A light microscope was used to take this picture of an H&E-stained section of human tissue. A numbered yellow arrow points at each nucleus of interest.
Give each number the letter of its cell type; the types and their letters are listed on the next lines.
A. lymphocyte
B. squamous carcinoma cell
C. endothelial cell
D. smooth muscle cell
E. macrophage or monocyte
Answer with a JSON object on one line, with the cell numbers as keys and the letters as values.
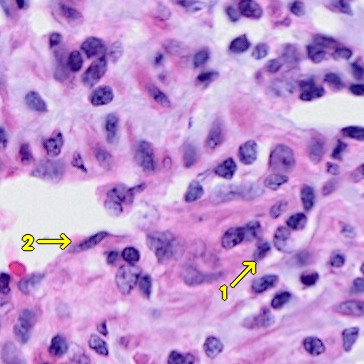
{"1": "A", "2": "C"}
